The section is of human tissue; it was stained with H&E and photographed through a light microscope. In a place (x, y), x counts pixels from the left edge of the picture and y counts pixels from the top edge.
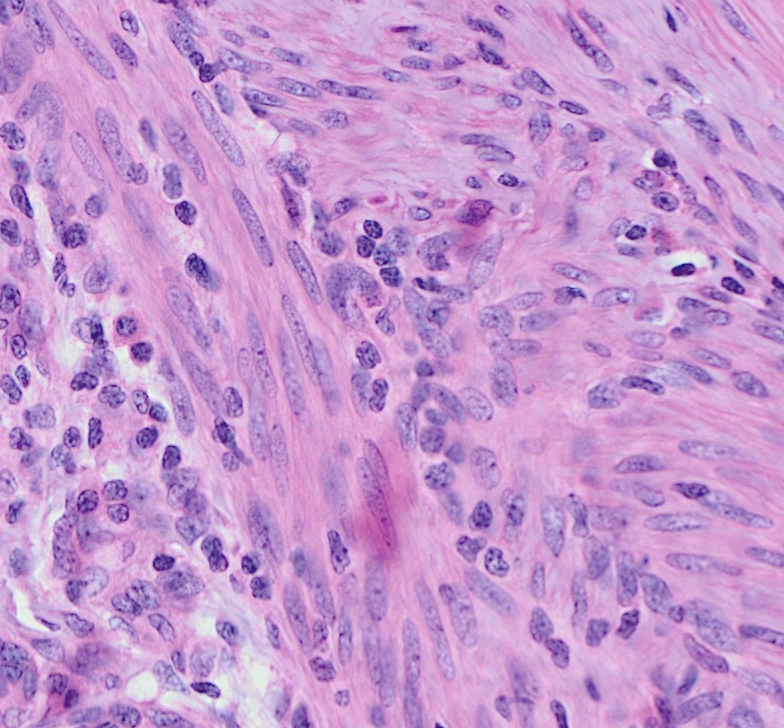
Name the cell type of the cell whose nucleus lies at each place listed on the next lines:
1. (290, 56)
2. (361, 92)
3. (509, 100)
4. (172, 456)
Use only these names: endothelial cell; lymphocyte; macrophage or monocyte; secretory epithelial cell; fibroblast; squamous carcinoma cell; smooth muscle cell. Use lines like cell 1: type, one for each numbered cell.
cell 1: smooth muscle cell
cell 2: smooth muscle cell
cell 3: smooth muscle cell
cell 4: lymphocyte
